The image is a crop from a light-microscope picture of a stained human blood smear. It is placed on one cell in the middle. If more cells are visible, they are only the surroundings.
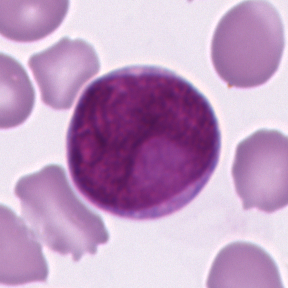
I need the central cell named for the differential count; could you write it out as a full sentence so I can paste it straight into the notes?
The middle cell in this particular crop is a blast.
